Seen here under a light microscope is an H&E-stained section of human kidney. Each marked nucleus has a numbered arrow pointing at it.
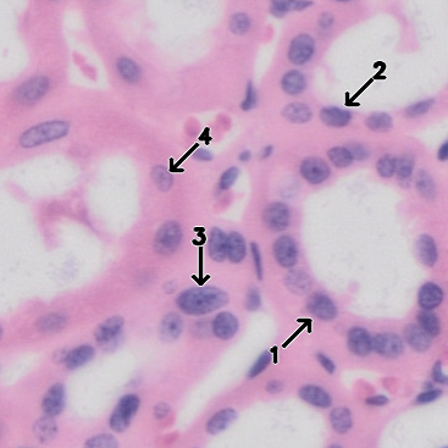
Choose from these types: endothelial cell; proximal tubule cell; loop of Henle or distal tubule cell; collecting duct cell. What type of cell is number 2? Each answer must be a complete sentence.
Within this field of view, the cell labelled 2 is a collecting duct cell.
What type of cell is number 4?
The identity of cell 4 is that of a proximal tubule cell.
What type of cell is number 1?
Nucleus 1 in this section belongs to a collecting duct cell.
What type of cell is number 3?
Number 3 is placed on a collecting duct cell here.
